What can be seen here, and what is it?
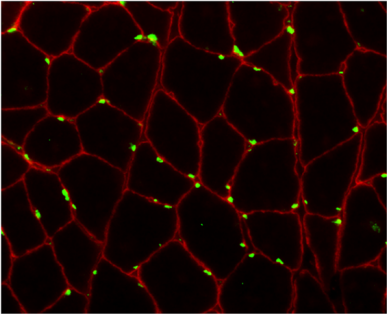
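This is a cross section of skeletal muscle in which tightly packed polygonal muscle fibres are each outlined by a thin red rim. Numerous small oval green nuclei lie at the periphery of the fibres, pressed against the red outlines, while the fibre interiors are dark.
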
